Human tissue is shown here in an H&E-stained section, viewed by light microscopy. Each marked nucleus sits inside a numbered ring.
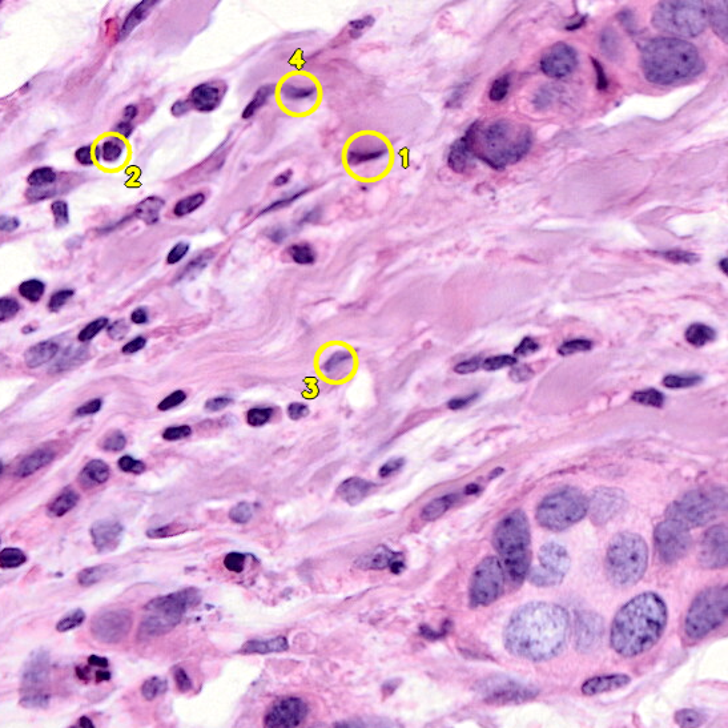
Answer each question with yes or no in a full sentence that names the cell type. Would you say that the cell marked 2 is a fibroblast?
No, number 2 is assigned to a lymphocyte, not to a fibroblast.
